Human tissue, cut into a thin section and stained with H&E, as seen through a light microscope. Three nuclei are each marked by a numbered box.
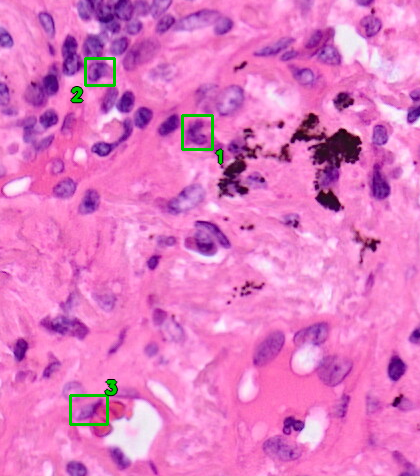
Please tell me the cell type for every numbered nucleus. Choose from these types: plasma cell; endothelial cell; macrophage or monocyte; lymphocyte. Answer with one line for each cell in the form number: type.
1: plasma cell
2: lymphocyte
3: endothelial cell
